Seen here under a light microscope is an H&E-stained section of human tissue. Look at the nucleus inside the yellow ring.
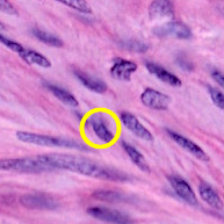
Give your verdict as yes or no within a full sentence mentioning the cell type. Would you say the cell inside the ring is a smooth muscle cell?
Yes, the identification stands: the cell inside the ring is a smooth muscle cell.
